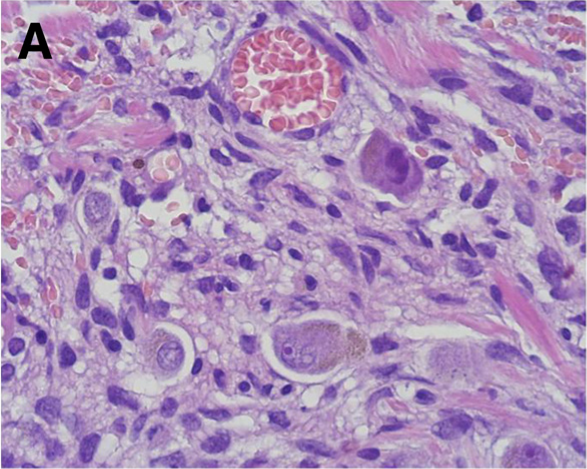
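This tumor tissue contains scattered large atypical ganglion cells with abundant cytoplasm and round nuclei with prominent nucleoli, some lying in clear spaces and one holding granular brown pigment. They are set in a loose, pale fibrillary matrix with smaller spindle and oval nuclei, pink collagen strands and a blood vessel filled with red blood cells.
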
